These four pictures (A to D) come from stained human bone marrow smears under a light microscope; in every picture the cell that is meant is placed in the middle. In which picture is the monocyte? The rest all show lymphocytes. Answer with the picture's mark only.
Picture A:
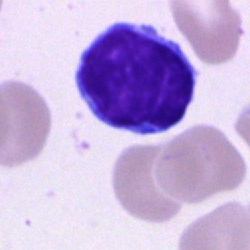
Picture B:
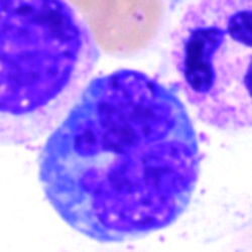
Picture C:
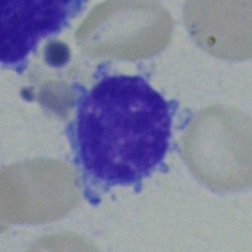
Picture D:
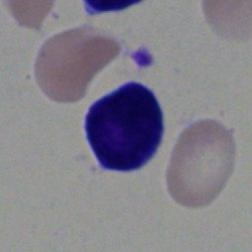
B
